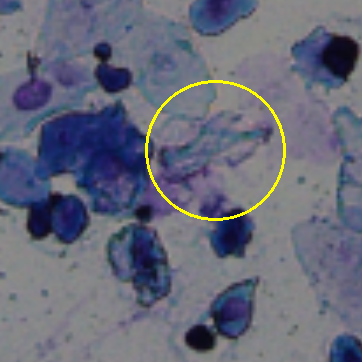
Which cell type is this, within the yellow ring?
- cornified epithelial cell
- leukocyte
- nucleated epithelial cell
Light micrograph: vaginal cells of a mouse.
Within the ring is a cornified epithelial cell.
